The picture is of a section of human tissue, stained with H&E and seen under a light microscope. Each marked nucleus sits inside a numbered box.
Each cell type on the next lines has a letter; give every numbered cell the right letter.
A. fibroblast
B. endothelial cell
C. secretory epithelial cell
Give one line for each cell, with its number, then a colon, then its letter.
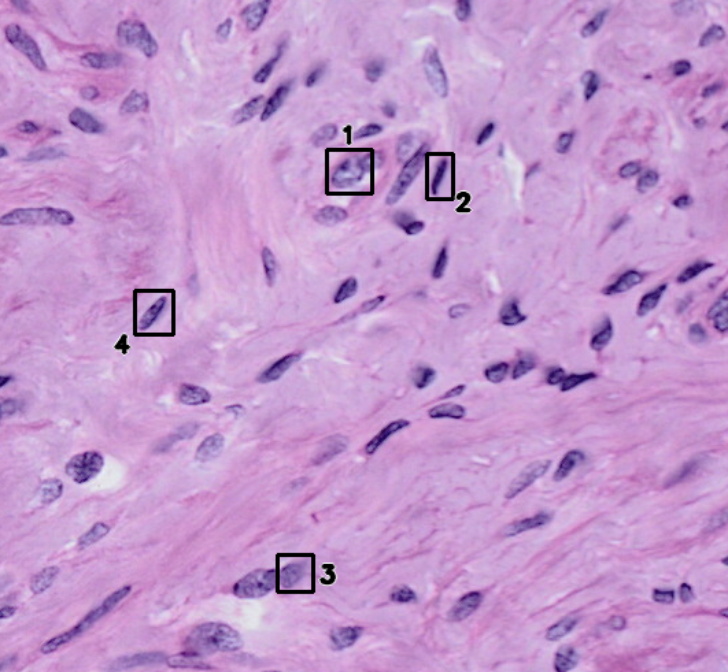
1: B
2: A
3: A
4: A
